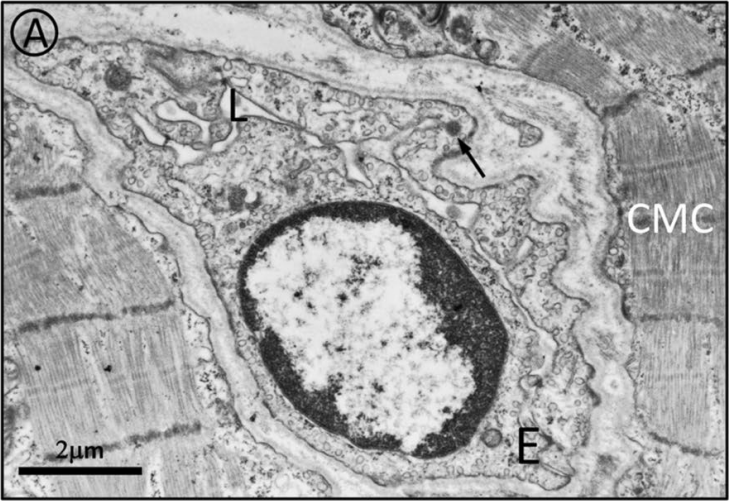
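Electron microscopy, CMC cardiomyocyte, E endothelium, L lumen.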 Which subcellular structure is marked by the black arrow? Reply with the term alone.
Weibel–Palade bodies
